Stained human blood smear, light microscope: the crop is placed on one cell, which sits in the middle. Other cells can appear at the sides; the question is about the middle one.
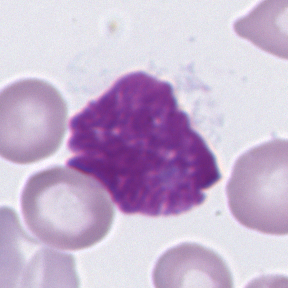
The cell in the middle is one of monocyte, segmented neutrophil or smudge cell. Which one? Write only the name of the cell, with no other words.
smudge cell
